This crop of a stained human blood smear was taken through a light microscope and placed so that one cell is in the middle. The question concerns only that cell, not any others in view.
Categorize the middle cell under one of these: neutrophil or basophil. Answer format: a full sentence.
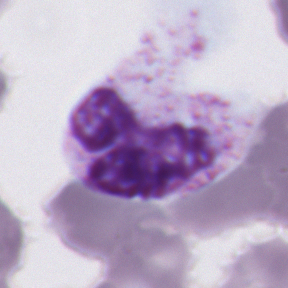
Answering briefly, the cell in the middle is a neutrophil.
